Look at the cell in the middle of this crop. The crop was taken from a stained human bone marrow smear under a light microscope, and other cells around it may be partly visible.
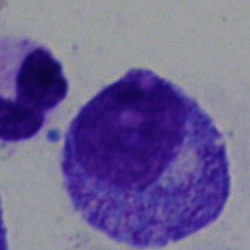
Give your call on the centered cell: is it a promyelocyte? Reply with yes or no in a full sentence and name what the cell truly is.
Yes, the cell at the very centre of the crop is a promyelocyte.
